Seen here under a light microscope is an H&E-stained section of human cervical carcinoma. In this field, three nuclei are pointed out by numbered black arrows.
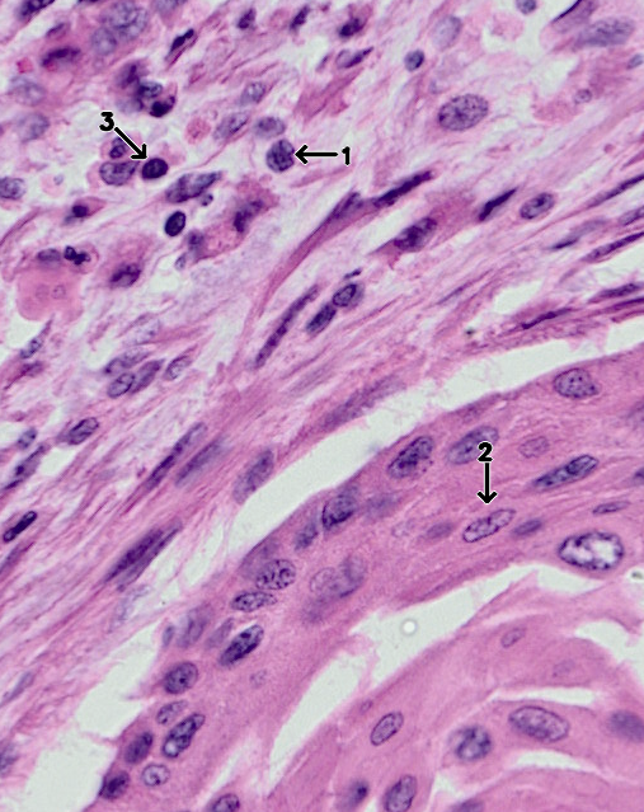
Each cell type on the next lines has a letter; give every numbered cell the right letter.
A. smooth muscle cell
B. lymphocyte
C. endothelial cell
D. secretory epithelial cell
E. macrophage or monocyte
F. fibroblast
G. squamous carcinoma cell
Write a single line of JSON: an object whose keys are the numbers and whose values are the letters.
{"1": "B", "2": "G", "3": "B"}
